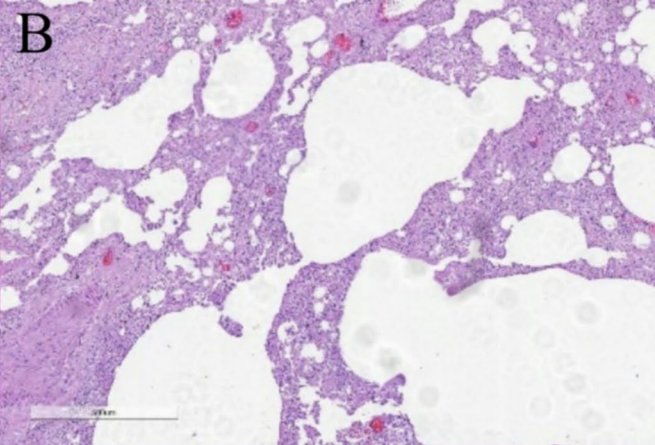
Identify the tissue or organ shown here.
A: Lung.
